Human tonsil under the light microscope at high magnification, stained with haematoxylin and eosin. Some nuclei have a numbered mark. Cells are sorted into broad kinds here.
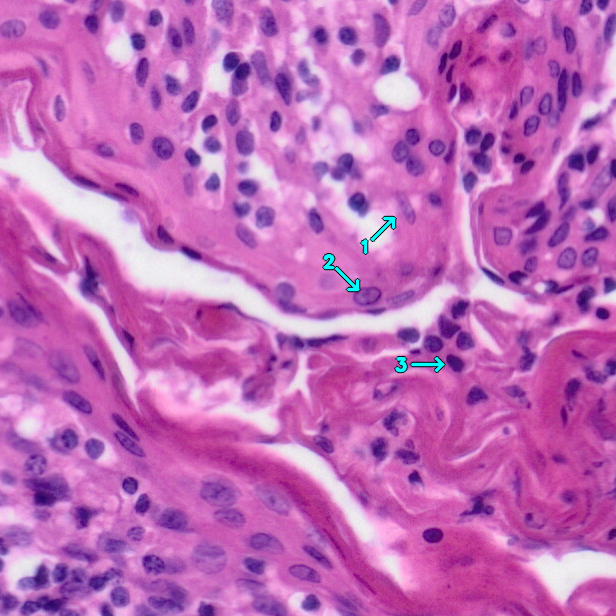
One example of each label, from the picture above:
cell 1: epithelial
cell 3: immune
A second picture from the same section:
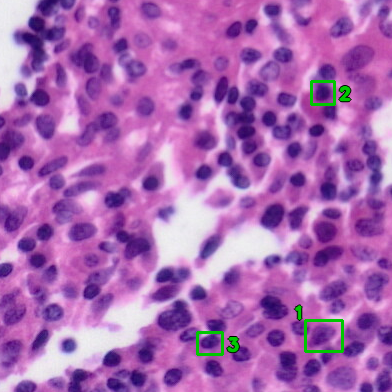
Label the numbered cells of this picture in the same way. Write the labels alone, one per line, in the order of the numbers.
epithelial
immune
immune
